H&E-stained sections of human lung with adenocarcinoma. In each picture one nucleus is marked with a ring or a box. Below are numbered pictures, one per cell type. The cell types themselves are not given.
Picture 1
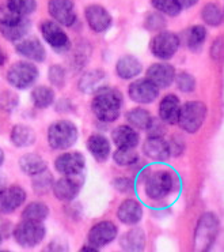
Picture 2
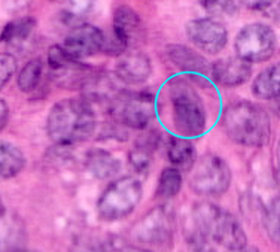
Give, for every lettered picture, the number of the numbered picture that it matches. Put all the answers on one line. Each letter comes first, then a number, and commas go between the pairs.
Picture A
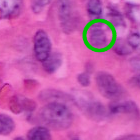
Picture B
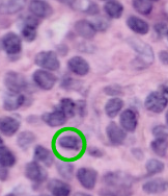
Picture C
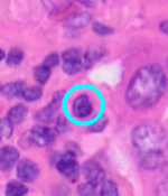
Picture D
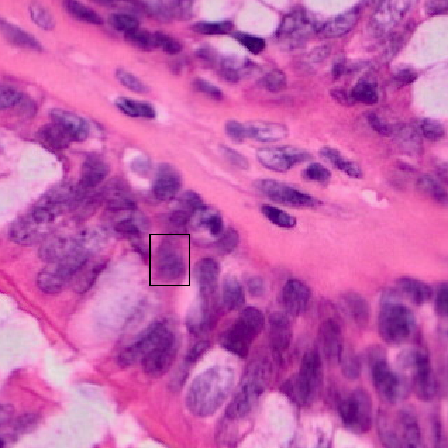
A 2, B 1, C 1, D 2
